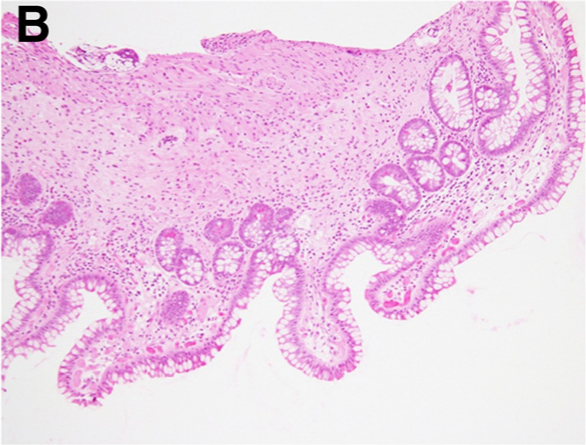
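This is a biopsy of intestinal mucosa in which the lamina propria has been replaced by fibrosis. The upper part of the fragment is dense, pale pink fibrous stroma with elongated, spindle-shaped nuclei. Crypts lined by goblet cells with clear mucin-filled cytoplasm lie in a band beneath this stroma, many cut in cross-section as small rings. The surface is covered by a single layer of tall columnar epithelium with goblet cells, thrown into gentle folds.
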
